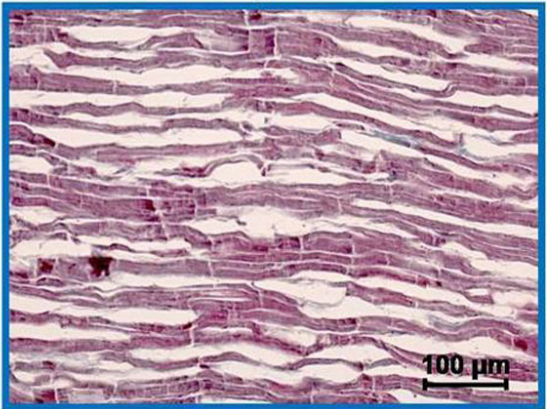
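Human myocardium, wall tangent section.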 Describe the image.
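Here the heart muscle is cut along its myocytes, which appear as long pink-purple fibres lying parallel to one another across the field. Narrow white clefts separate bundles of fibres, and thin transverse lines cross some of them along their length.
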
